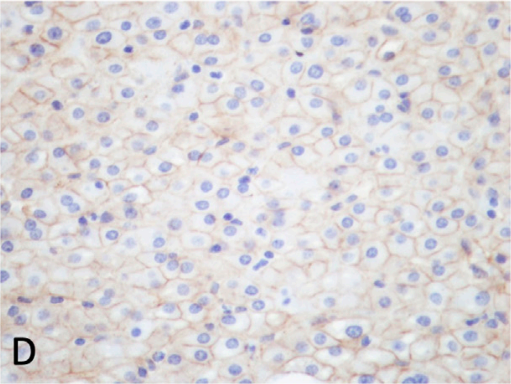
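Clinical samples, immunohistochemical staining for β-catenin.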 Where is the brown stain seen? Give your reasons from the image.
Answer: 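Membranous. Thin brown lines outline the borders of each cell. Nuclei are blue and cytoplasm largely unstained.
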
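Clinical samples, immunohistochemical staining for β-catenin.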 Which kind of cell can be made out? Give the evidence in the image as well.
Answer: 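Hepatocytes. Large polygonal cells in sheets with abundant pale cytoplasm. Round central nuclei, some with visible nucleoli.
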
